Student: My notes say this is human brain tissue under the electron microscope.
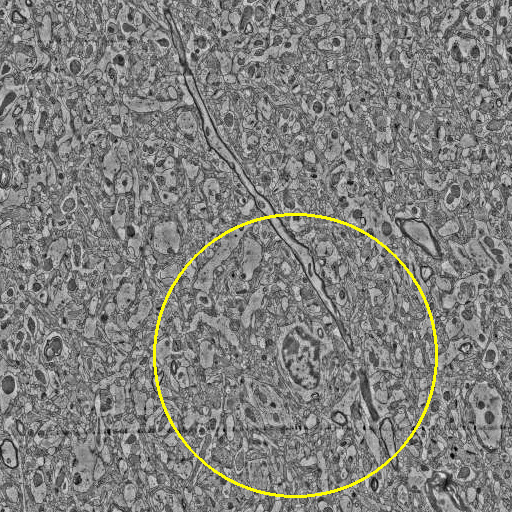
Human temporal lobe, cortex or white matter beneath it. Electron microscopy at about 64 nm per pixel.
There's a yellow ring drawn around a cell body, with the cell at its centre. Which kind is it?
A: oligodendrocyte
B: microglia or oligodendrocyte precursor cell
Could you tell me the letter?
B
